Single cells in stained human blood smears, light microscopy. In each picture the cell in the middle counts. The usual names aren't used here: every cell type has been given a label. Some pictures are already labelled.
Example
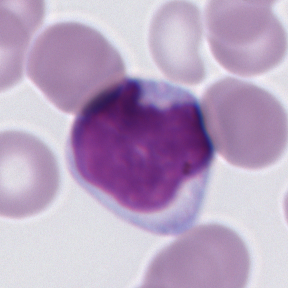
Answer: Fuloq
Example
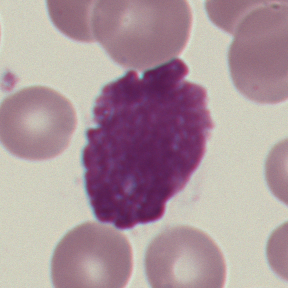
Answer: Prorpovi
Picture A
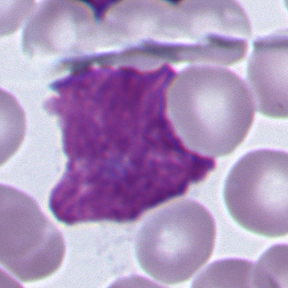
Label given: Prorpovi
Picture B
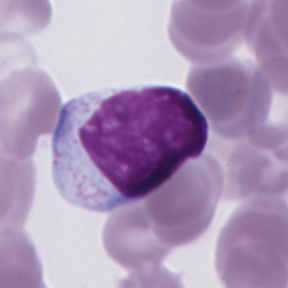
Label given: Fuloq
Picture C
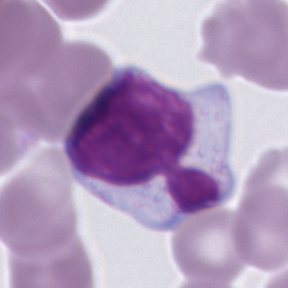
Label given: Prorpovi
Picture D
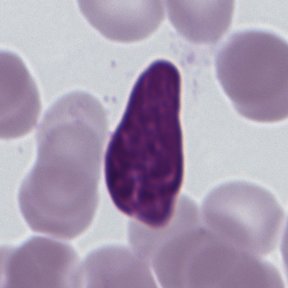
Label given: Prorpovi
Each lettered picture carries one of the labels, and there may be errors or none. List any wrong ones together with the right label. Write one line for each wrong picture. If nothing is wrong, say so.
C is labelled Prorpovi; correct label: Fuloq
